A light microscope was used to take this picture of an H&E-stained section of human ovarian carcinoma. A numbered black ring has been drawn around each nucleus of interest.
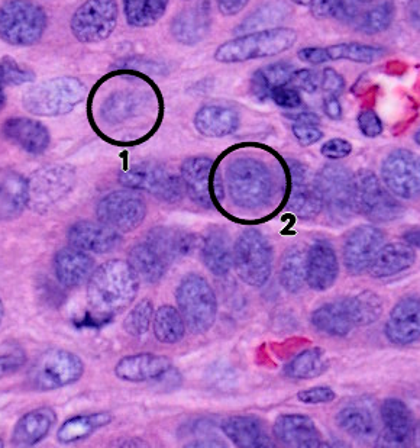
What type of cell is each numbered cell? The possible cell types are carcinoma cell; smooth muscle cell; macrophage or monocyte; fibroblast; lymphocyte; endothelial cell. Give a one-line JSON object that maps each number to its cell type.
{"1": "fibroblast", "2": "carcinoma cell"}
